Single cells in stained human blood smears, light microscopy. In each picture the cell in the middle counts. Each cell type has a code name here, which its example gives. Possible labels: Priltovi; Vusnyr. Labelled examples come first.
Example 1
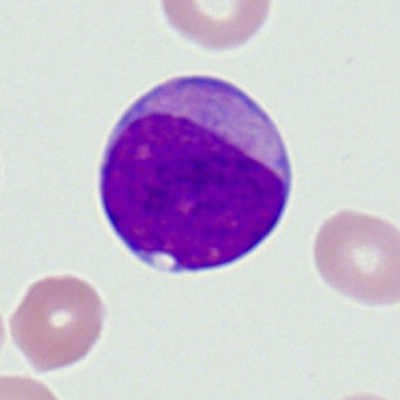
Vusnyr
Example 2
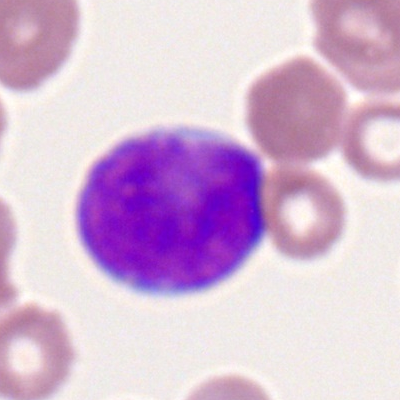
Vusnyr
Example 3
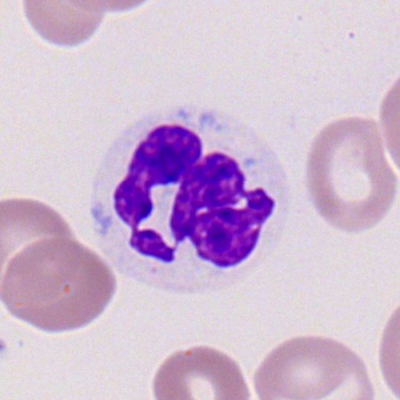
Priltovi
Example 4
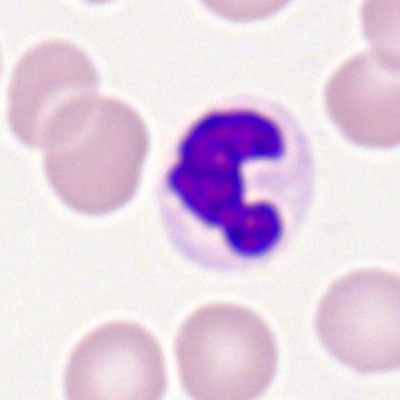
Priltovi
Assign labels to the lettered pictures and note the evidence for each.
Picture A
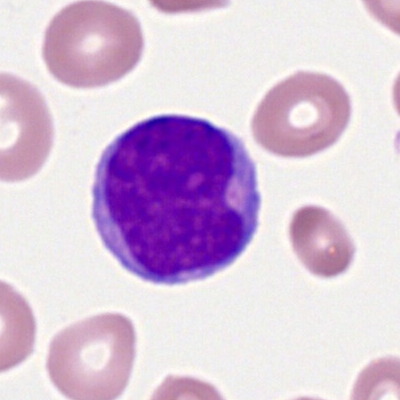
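Vusnyr. Reason: The nucleus fills most of the cell.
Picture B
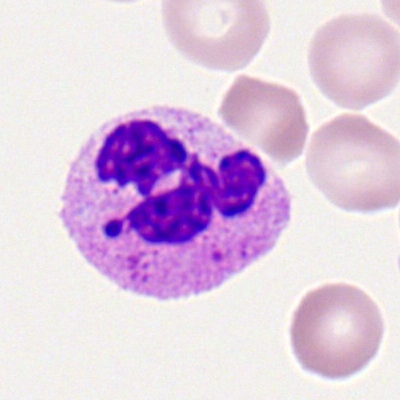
Priltovi. Reason: The cytoplasm is plentiful and pale pink-lilac.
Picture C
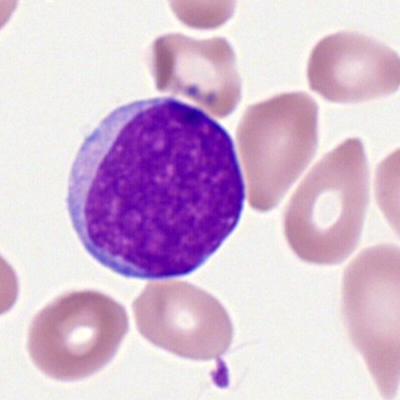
Vusnyr. Reason: The cytoplasm forms a narrow crescent that is widest on the left.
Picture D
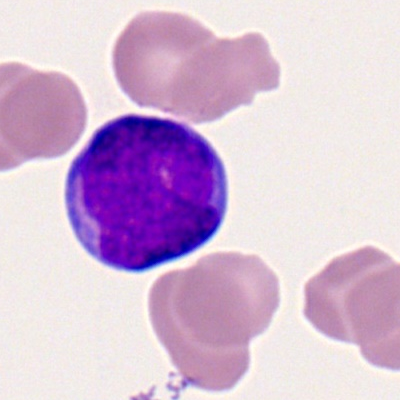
Vusnyr. Reason: The nucleus fills almost the whole cell.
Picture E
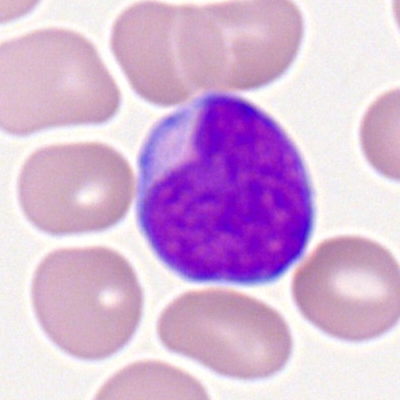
Vusnyr. Reason: The nucleus fills most of the cell.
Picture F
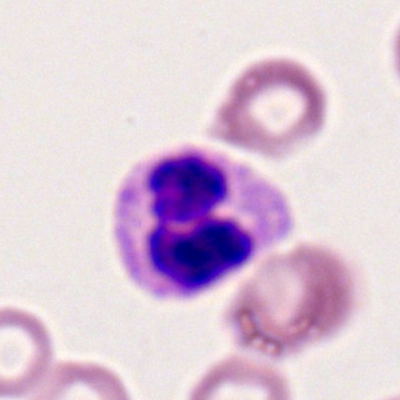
Priltovi. Reason: The nucleus is divided into two lobes, one lying above the other.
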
